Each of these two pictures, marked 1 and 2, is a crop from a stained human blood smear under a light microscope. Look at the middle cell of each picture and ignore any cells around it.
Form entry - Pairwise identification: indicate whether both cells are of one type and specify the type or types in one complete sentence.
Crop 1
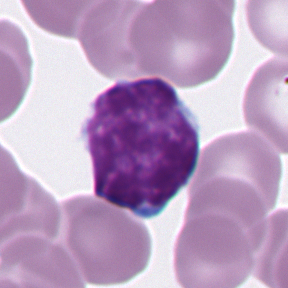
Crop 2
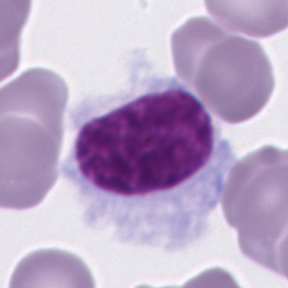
No, on this set crop 1 shows a typical lymphocyte and crop 2 shows a hairy cell.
